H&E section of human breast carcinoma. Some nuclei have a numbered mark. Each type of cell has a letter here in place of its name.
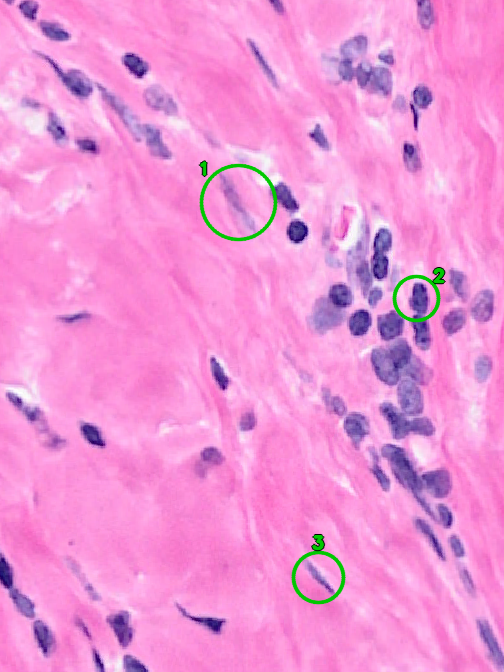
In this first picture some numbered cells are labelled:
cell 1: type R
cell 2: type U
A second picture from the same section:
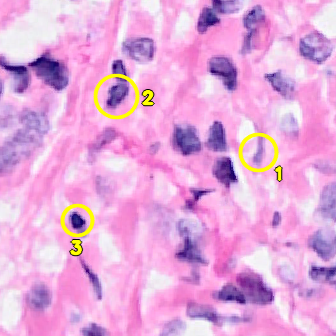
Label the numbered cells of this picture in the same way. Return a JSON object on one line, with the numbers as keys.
{"1": "type R", "2": "type U", "3": "type U"}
